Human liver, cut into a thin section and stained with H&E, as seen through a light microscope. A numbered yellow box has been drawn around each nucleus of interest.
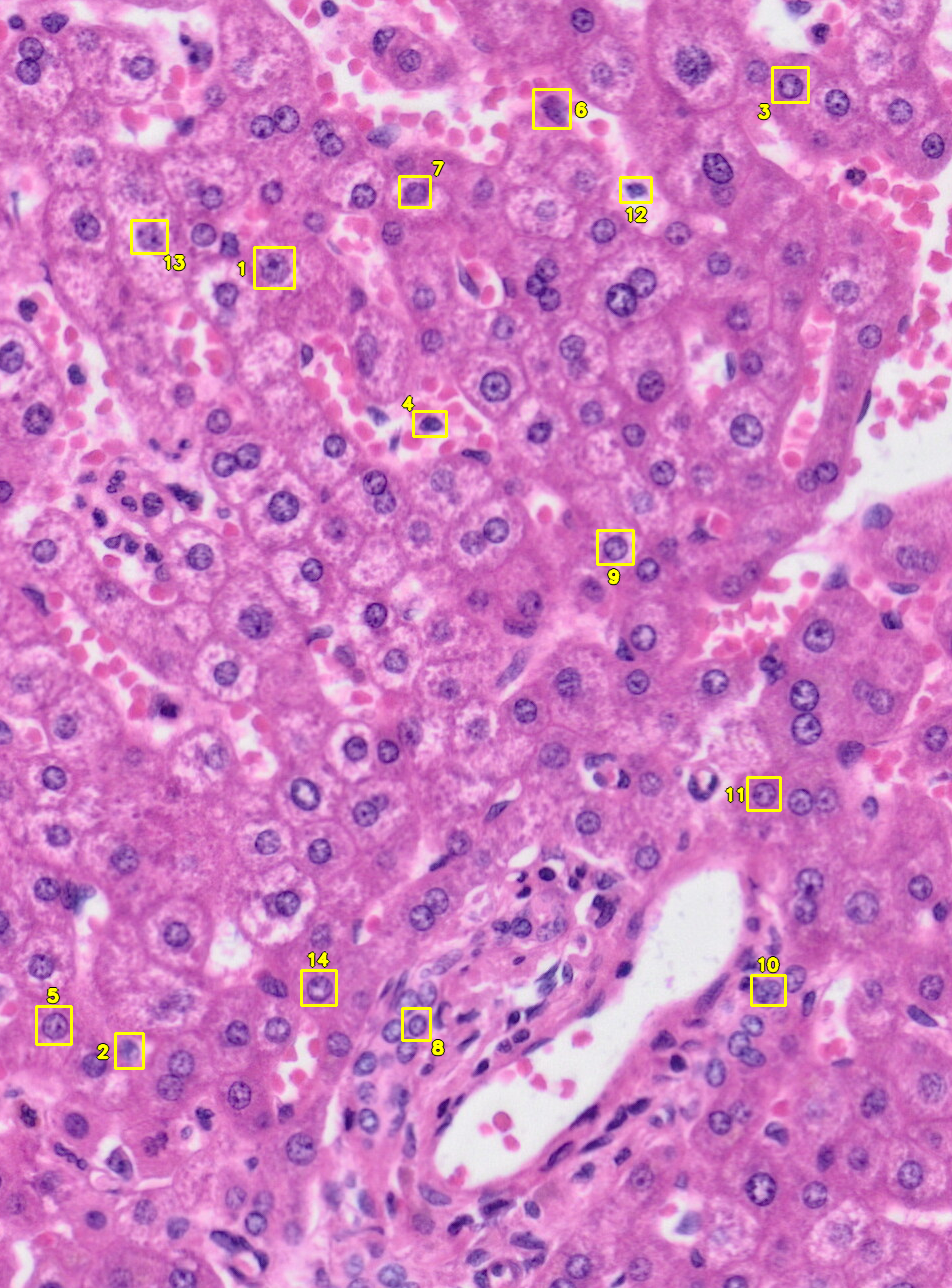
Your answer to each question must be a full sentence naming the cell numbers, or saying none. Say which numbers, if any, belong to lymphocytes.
The cells identified by the numbers 4 and 12 are lymphocytes.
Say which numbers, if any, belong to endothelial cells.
The cells tagged with numbers 2 and 6 are endothelial cells.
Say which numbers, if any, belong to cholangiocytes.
The cells that have numbers 8 and 10 are cholangiocytes.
